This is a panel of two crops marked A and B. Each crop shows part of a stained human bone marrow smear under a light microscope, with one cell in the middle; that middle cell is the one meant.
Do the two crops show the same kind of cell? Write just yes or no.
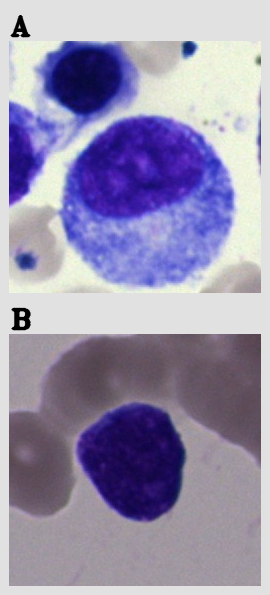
no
